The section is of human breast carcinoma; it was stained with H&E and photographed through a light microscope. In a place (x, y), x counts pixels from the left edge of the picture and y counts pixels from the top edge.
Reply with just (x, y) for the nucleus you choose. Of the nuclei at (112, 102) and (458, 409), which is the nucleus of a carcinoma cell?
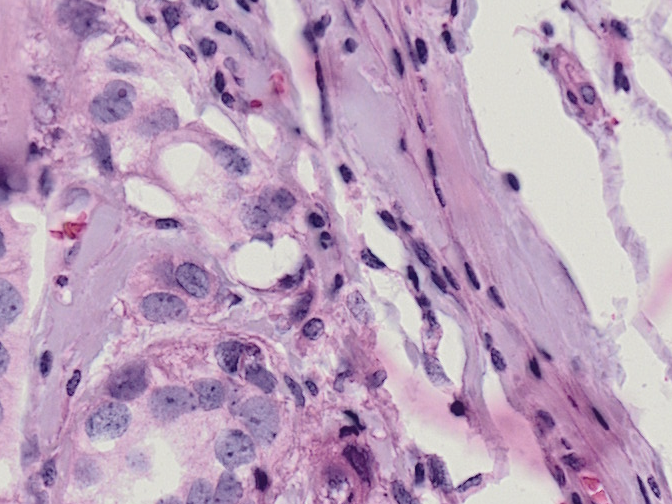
(112, 102)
